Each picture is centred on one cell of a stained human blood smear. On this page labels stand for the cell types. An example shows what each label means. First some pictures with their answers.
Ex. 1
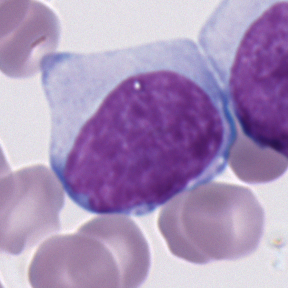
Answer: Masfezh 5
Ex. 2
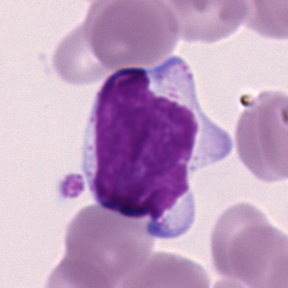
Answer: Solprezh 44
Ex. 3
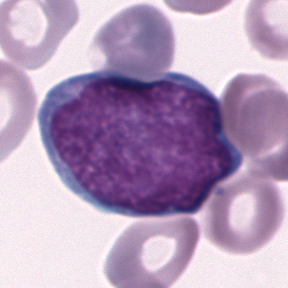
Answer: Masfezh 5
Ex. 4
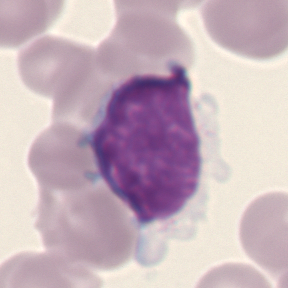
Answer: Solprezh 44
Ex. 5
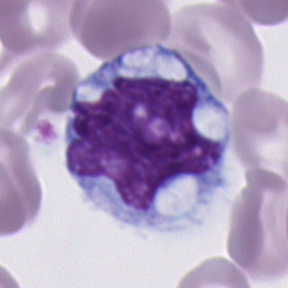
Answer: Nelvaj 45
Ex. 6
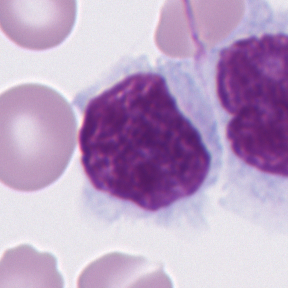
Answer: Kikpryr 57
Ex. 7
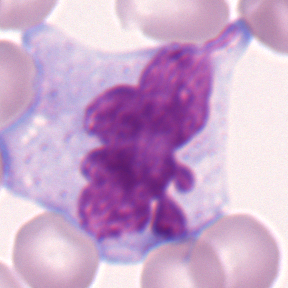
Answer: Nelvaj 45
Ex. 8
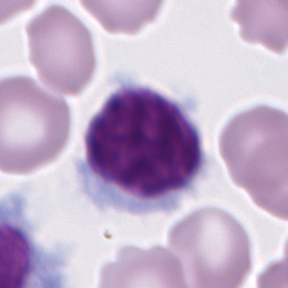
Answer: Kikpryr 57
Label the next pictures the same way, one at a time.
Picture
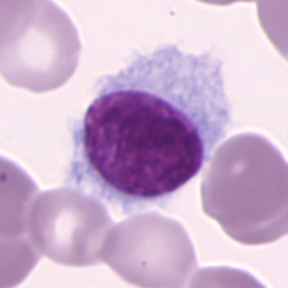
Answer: Kikpryr 57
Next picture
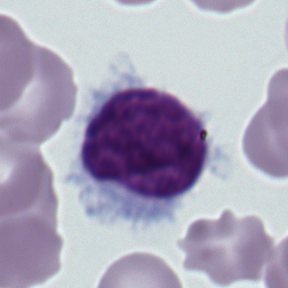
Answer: Kikpryr 57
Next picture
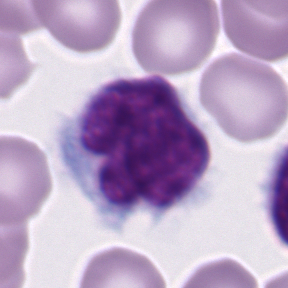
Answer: Kikpryr 57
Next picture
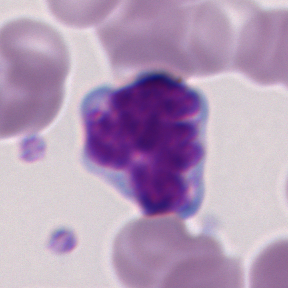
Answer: Solprezh 44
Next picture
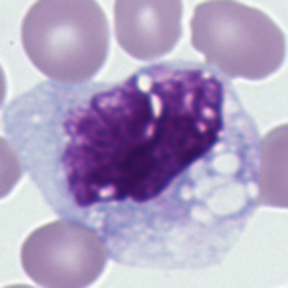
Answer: Nelvaj 45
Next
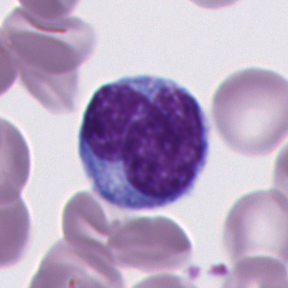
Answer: Nelvaj 45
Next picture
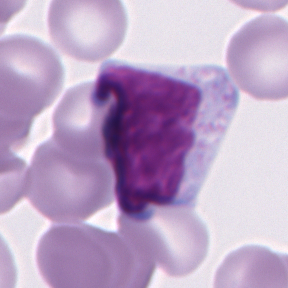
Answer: Solprezh 44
